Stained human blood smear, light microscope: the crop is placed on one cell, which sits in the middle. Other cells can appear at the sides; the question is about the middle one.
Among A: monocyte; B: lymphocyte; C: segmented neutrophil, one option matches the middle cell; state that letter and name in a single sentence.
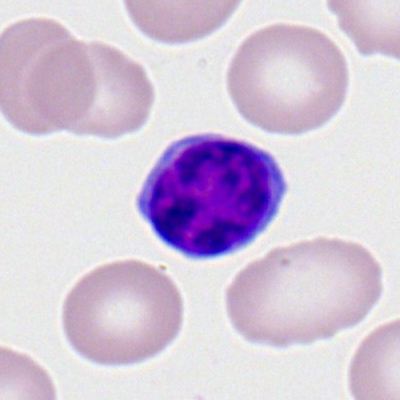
Option B is correct in that the central cell is a lymphocyte.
